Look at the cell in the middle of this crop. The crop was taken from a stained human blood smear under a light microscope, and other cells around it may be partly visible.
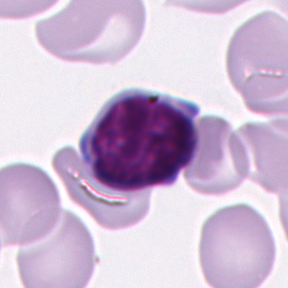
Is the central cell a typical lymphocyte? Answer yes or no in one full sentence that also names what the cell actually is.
Yes, the identity of the central cell is that of a typical lymphocyte.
